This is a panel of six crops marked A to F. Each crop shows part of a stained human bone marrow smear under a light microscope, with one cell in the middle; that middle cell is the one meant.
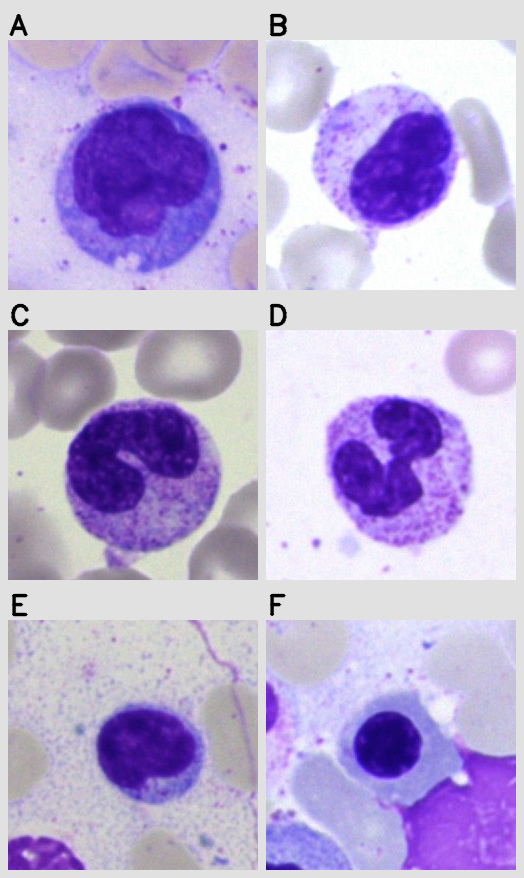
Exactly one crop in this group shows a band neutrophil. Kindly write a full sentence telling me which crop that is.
Crop C is the one in this set that shows a band neutrophil.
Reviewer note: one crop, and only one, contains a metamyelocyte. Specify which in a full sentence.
The crop in which a metamyelocyte is shown is crop B.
